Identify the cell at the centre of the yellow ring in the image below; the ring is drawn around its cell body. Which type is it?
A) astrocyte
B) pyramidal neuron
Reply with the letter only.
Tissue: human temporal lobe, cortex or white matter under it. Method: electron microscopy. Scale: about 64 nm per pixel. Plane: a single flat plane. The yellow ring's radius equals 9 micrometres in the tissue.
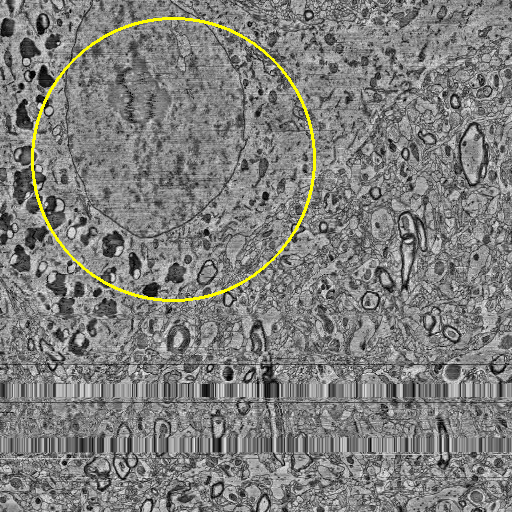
B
